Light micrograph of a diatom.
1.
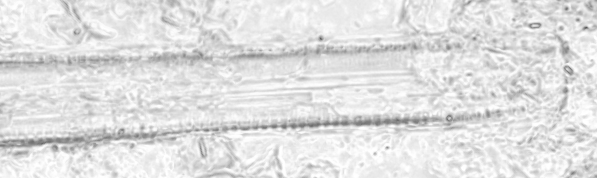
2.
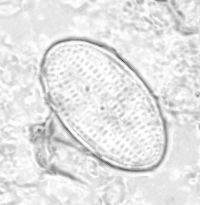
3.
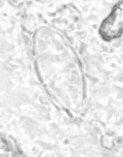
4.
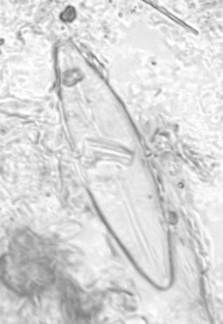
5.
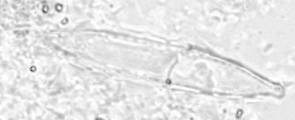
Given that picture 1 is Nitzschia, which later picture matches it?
5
